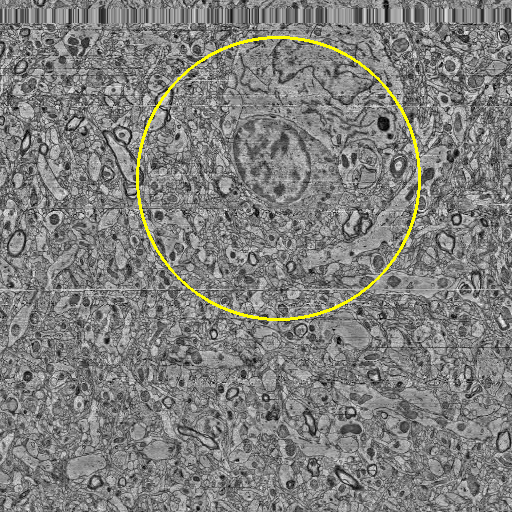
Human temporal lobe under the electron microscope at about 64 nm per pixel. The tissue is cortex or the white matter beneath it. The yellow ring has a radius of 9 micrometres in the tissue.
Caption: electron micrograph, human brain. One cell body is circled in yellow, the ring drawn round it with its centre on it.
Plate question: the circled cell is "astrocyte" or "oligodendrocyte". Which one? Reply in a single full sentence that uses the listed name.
The yellow ring on the plate is centred on an oligodendrocyte, going by the listed names.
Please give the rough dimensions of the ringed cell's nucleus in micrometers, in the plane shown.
About 6 micrometres by about 5 micrometres in this plane.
